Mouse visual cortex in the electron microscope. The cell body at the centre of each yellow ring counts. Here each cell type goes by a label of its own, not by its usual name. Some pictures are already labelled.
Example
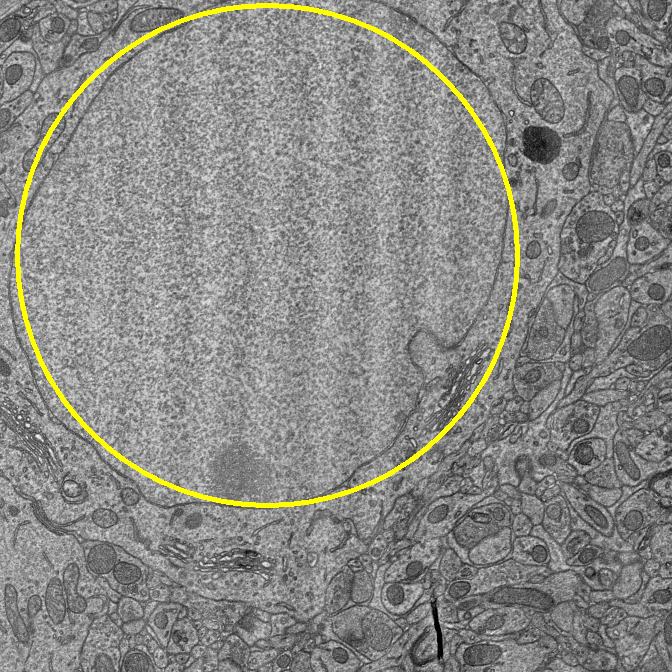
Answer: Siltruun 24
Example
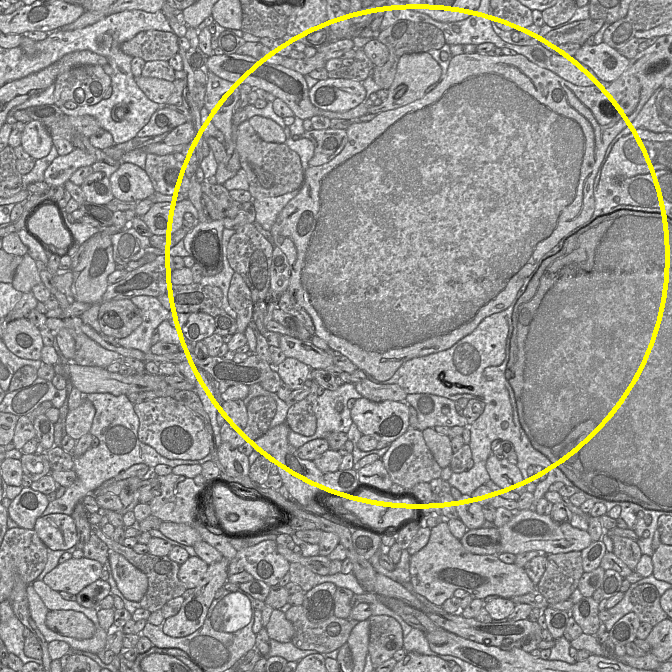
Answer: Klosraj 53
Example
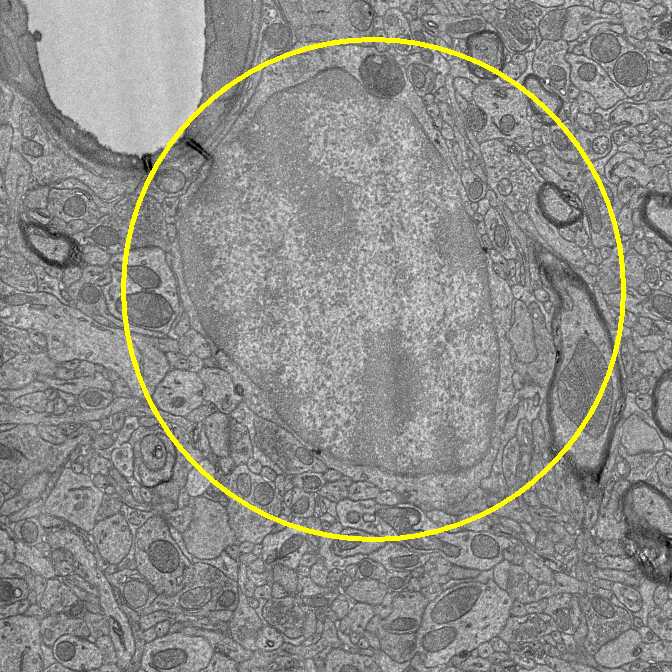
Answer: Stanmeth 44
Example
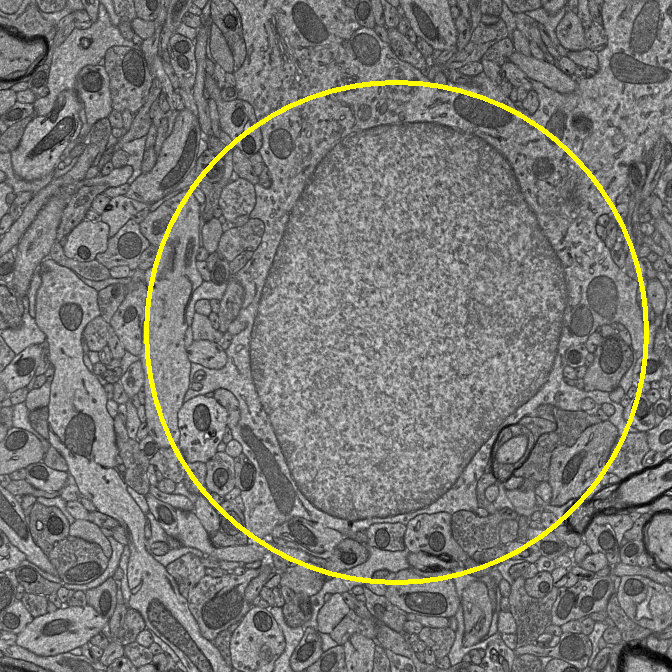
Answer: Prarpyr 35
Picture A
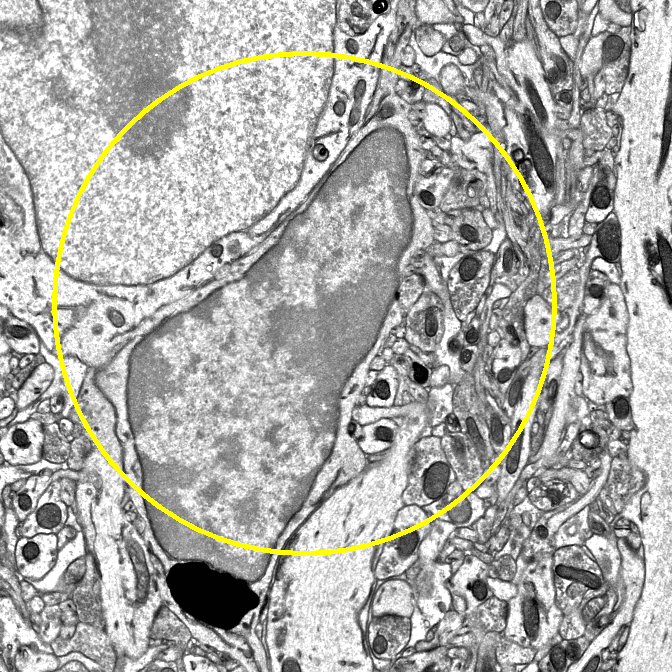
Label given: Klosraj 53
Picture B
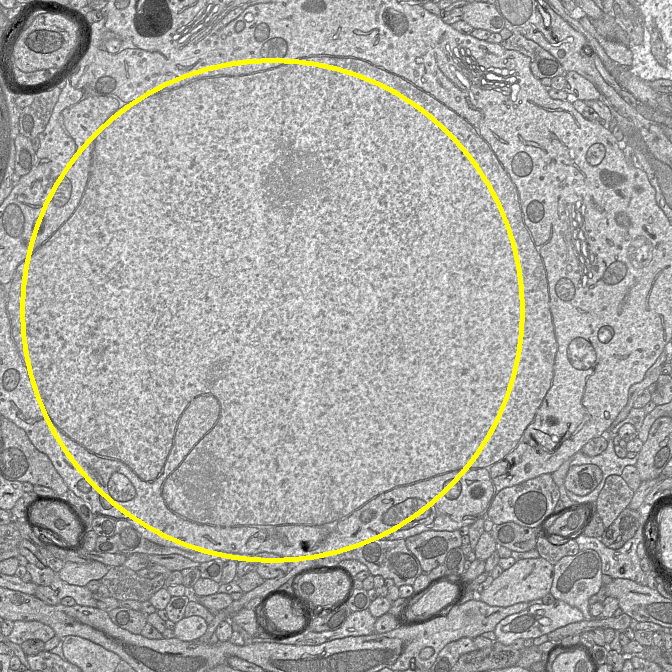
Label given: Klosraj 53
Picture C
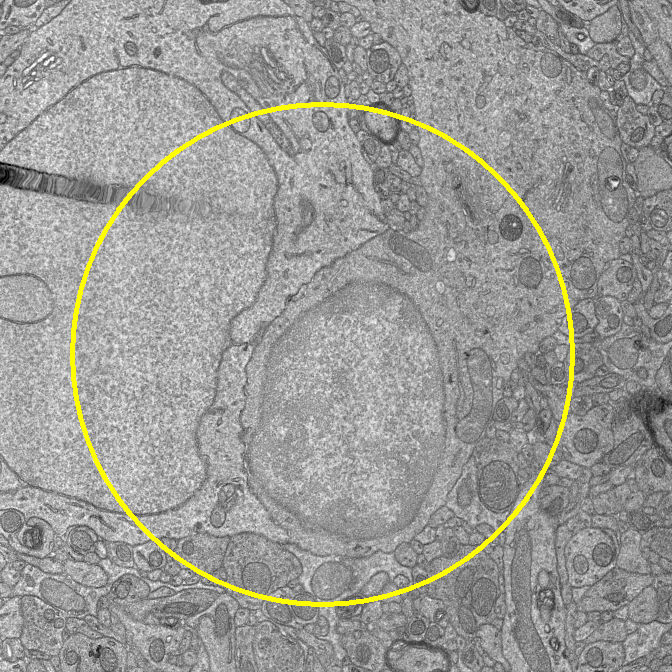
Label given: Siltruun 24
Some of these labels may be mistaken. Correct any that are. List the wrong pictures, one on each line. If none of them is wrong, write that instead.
B: Siltruun 24, not Klosraj 53
C: Stanmeth 44, not Siltruun 24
